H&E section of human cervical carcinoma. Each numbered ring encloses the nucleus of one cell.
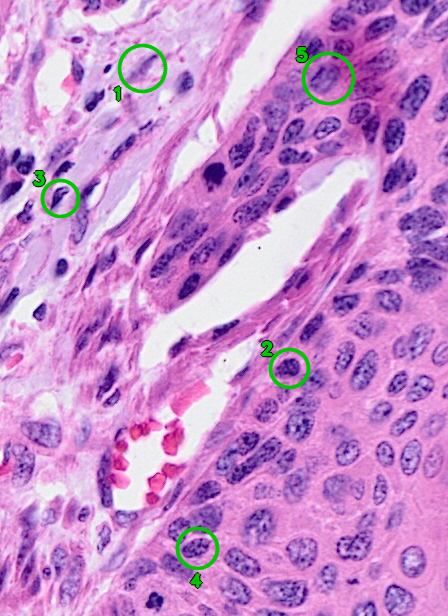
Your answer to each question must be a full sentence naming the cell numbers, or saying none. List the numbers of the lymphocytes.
Cell 3 is a lymphocyte; the remaining numbered cells are not.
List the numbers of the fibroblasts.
Exactly one of the numbered cells is a fibroblast, namely cell 1.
